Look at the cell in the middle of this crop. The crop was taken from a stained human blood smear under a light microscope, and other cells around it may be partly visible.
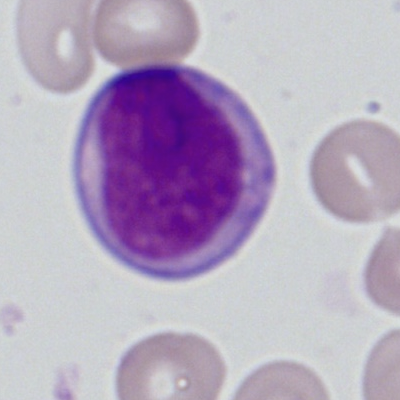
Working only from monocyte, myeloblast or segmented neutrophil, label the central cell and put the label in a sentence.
Classified as a myeloblast is the cell in the middle of this crop.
